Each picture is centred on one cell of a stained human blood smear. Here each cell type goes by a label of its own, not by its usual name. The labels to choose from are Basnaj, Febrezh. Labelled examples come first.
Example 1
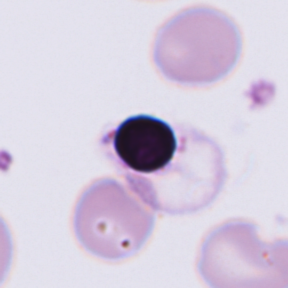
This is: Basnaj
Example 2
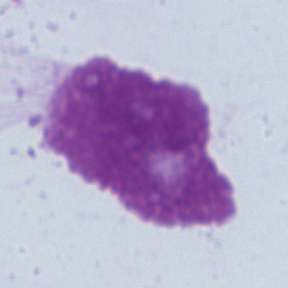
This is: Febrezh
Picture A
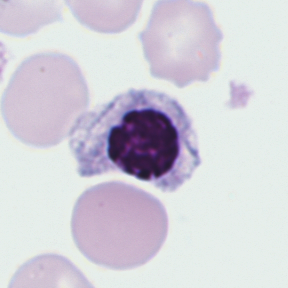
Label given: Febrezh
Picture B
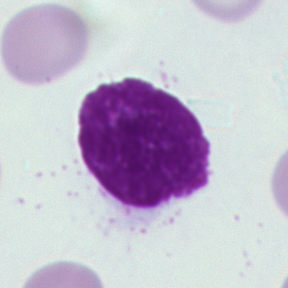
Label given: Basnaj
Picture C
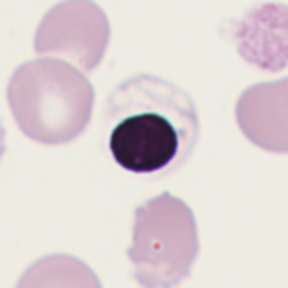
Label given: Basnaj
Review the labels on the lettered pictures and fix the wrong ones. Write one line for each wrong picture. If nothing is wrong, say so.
A should be Basnaj, not Febrezh
B should be Febrezh, not Basnaj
